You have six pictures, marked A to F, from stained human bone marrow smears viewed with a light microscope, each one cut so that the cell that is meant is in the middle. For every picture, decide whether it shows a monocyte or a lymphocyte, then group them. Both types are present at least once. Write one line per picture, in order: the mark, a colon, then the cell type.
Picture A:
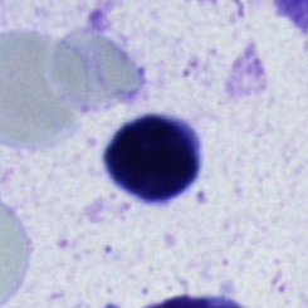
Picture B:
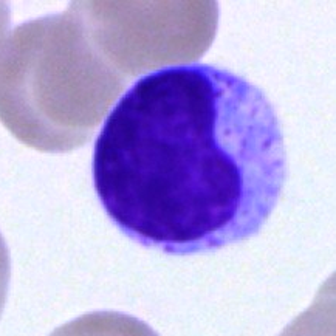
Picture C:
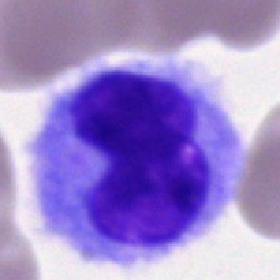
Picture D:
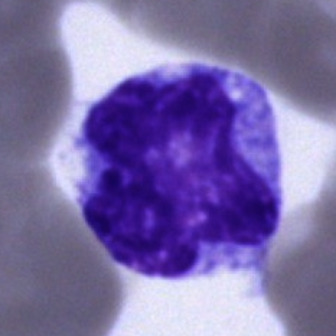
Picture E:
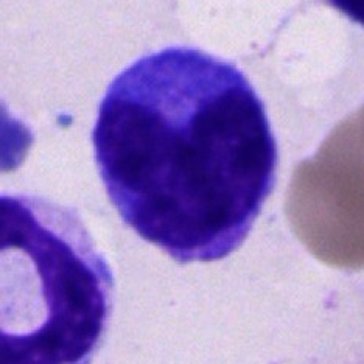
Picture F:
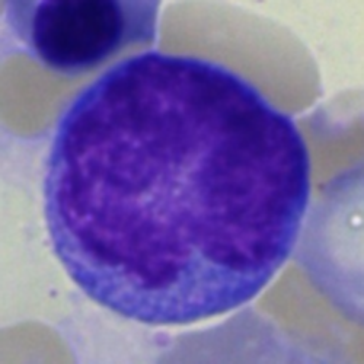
A: lymphocyte
B: lymphocyte
C: monocyte
D: monocyte
E: monocyte
F: monocyte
